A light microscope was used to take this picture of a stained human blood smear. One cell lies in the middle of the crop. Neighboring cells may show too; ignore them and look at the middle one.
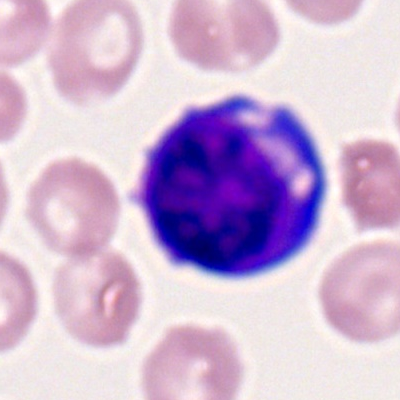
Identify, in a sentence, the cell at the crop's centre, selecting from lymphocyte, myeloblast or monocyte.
In the middle of this smear crop, the cell is a myeloblast.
